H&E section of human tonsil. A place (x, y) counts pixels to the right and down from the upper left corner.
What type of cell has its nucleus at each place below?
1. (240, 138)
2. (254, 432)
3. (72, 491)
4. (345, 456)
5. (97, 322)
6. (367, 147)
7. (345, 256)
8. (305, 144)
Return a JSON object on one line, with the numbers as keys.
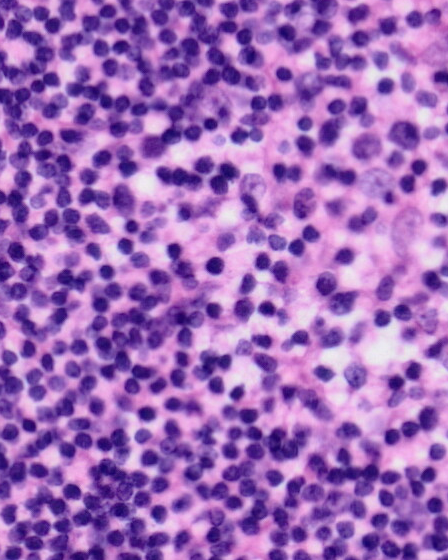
{"1": "small lymphocyte", "2": "small lymphocyte", "3": "small lymphocyte", "4": "small lymphocyte", "5": "small lymphocyte", "6": "proliferating B cell", "7": "proliferating B cell", "8": "proliferating B cell"}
